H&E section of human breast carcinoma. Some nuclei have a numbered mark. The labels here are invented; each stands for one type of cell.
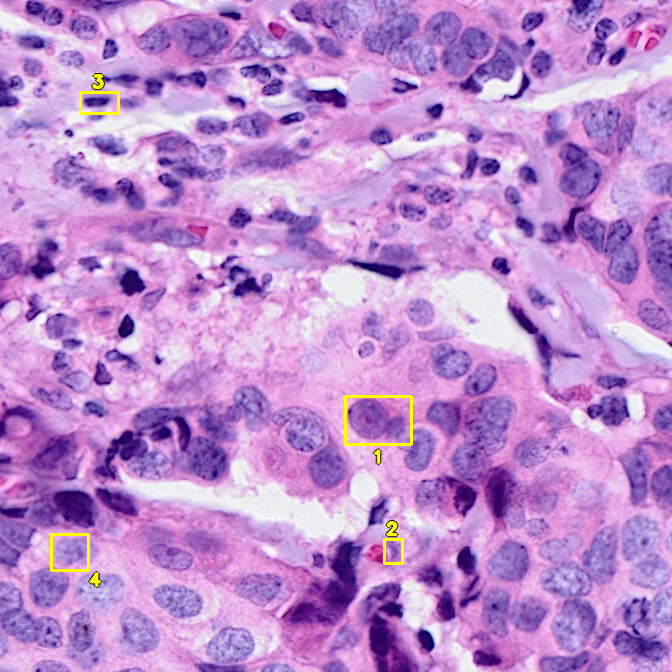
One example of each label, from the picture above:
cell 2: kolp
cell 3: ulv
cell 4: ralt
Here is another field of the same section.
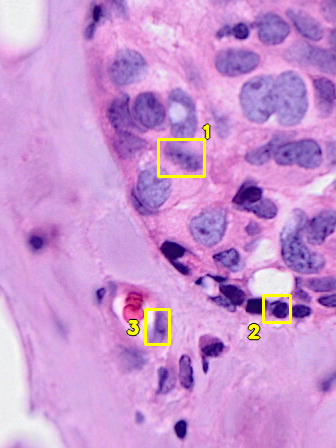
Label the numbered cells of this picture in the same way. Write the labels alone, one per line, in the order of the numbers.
ralt
ulv
kolp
